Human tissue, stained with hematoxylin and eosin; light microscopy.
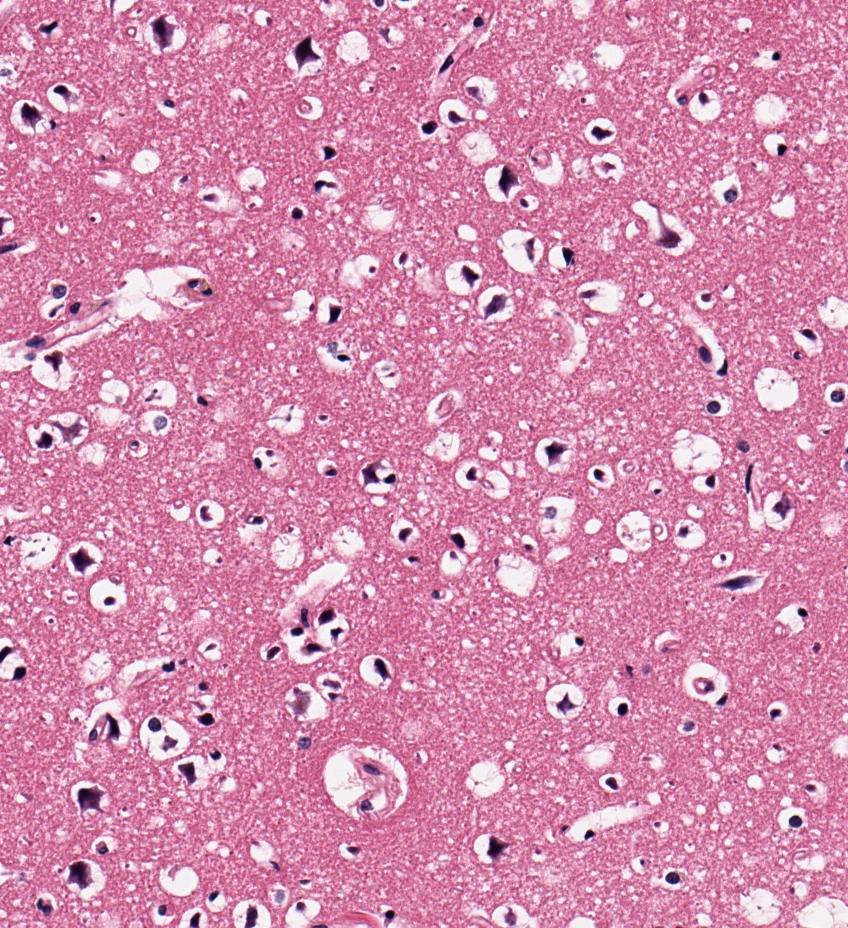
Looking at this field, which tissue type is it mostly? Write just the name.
cerebral cortex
